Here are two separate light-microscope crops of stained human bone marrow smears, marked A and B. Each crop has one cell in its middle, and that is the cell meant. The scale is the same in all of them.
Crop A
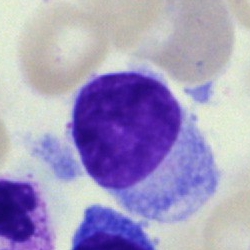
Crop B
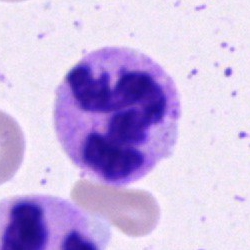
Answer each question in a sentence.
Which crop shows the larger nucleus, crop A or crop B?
Larger is the nucleus in crop A, at roughly 1.5 times the area of the other.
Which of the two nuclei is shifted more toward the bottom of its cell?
In crop B the nucleus is shifted more toward the bottom.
